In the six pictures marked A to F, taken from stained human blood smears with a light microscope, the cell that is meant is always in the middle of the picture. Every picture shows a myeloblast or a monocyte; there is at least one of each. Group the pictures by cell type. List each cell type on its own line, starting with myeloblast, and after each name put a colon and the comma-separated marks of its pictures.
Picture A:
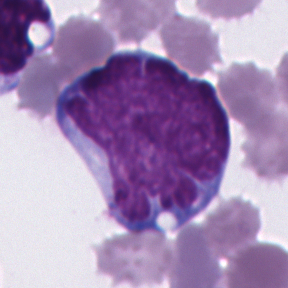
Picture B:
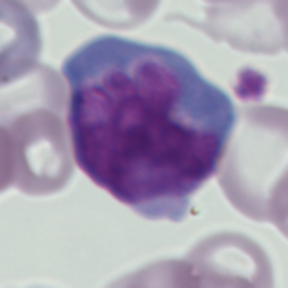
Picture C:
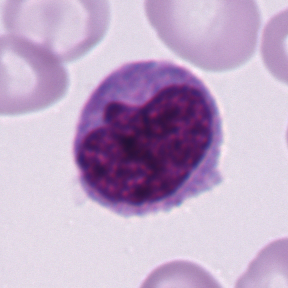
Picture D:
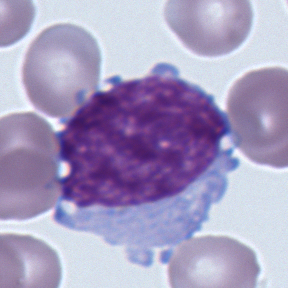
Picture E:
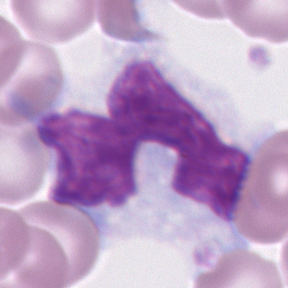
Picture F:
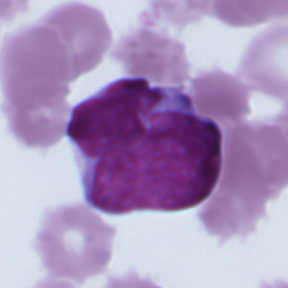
myeloblast: A, B, D, F
monocyte: C, E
